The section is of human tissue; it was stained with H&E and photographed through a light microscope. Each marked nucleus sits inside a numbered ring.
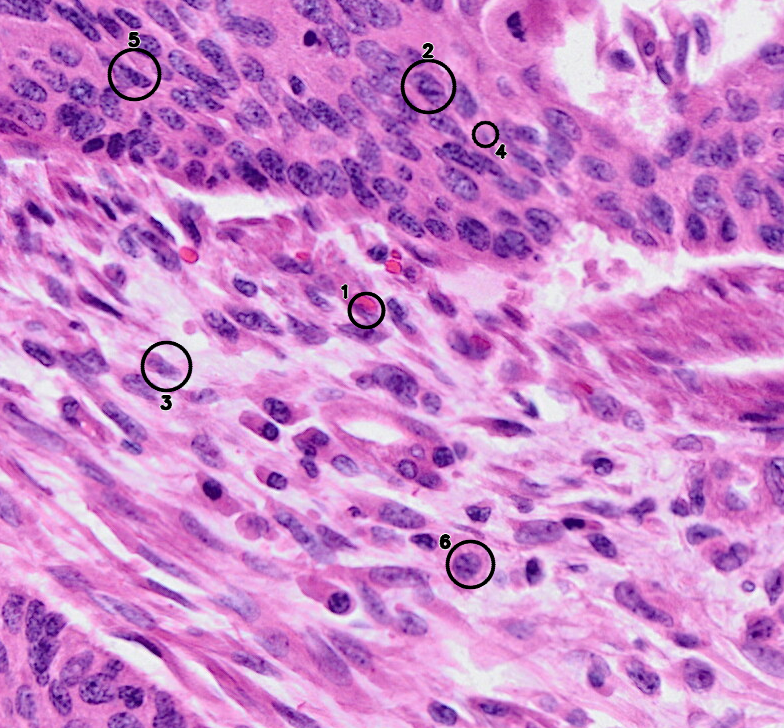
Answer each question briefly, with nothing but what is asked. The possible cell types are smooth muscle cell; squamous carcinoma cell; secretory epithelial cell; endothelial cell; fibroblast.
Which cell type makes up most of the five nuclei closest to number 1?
fibroblast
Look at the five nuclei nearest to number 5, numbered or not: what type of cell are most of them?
squamous carcinoma cell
